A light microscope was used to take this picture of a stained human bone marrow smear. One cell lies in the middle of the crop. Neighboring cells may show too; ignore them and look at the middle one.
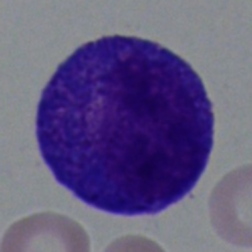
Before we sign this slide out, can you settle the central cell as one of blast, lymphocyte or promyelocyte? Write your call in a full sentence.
Present in the middle of the crop is a promyelocyte.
